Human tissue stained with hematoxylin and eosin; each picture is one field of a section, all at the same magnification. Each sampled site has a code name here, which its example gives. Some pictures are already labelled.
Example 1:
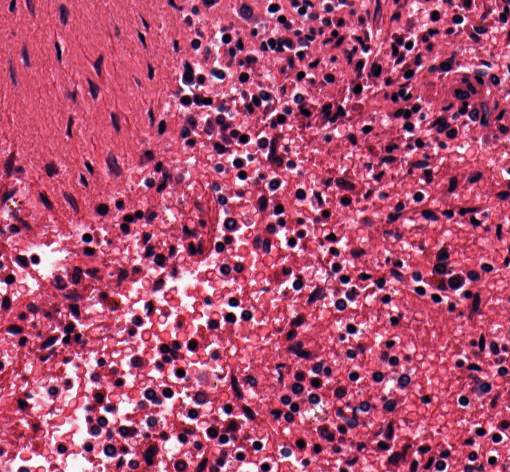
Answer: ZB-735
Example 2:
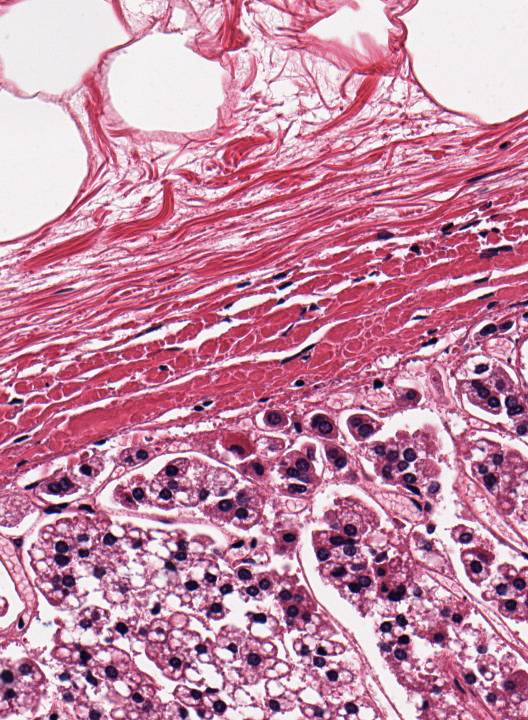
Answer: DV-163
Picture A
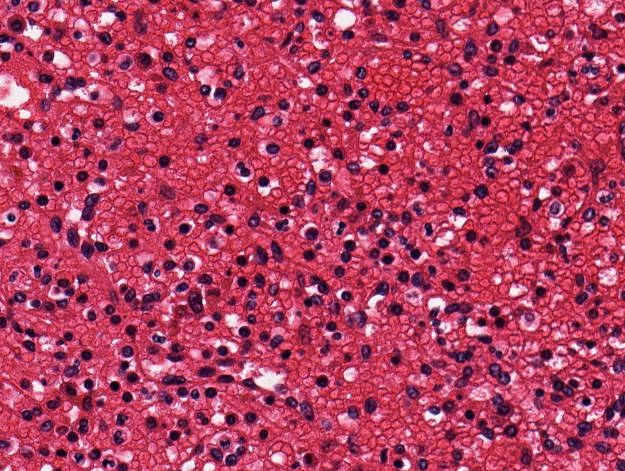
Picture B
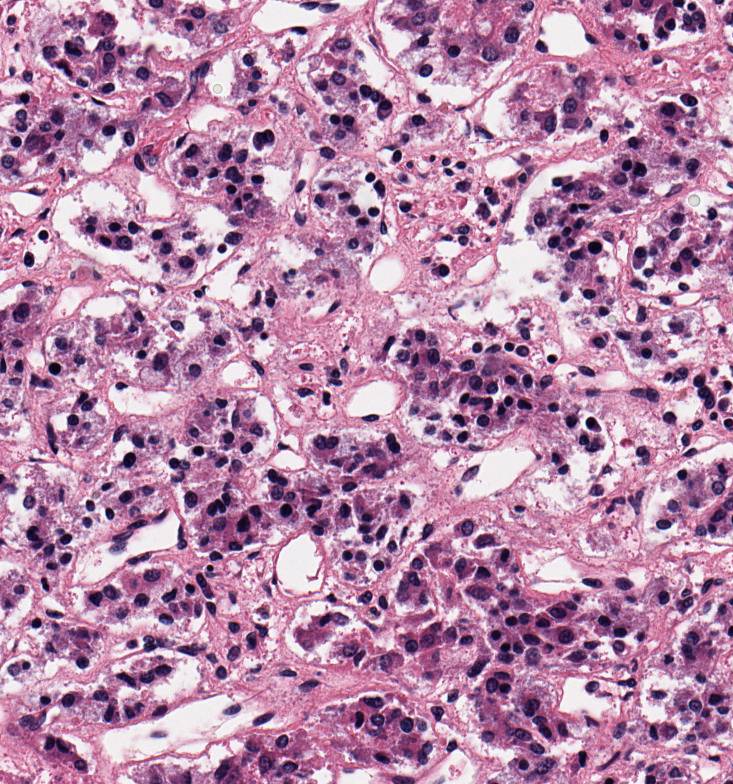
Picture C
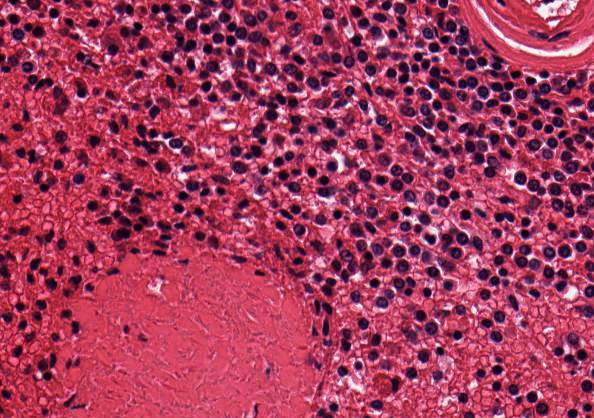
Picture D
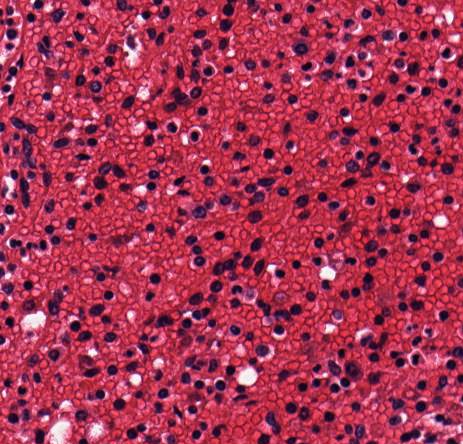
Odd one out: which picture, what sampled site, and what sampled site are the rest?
Exception: B, showing DV-163. Remaining pictures: ZB-735.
